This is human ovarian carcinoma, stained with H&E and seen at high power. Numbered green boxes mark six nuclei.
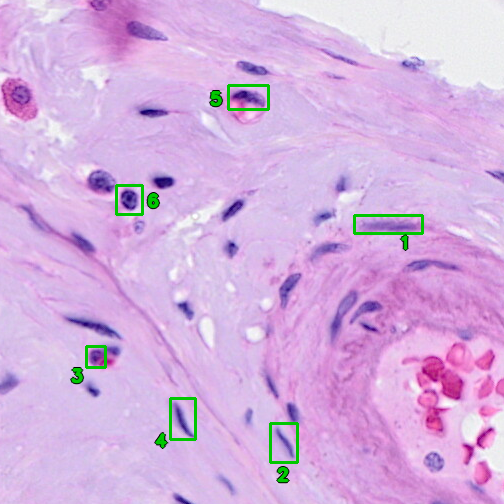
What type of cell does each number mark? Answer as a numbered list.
1. smooth muscle cell
2. fibroblast
3. endothelial cell
4. fibroblast
5. endothelial cell
6. lymphocyte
